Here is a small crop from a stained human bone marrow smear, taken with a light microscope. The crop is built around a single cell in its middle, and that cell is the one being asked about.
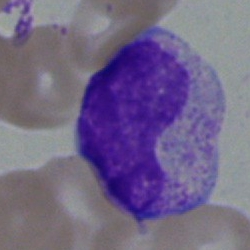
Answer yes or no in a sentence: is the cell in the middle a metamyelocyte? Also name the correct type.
Yes, the cell lying in the centre of the crop is identified as a metamyelocyte.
